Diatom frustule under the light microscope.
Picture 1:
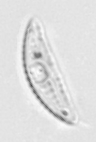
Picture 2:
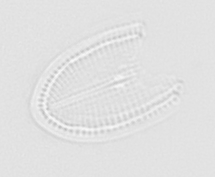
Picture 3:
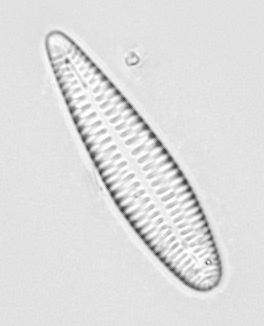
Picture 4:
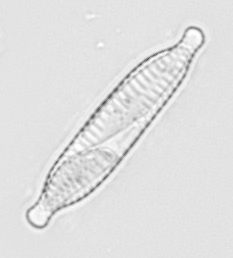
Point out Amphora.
That is picture 1.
